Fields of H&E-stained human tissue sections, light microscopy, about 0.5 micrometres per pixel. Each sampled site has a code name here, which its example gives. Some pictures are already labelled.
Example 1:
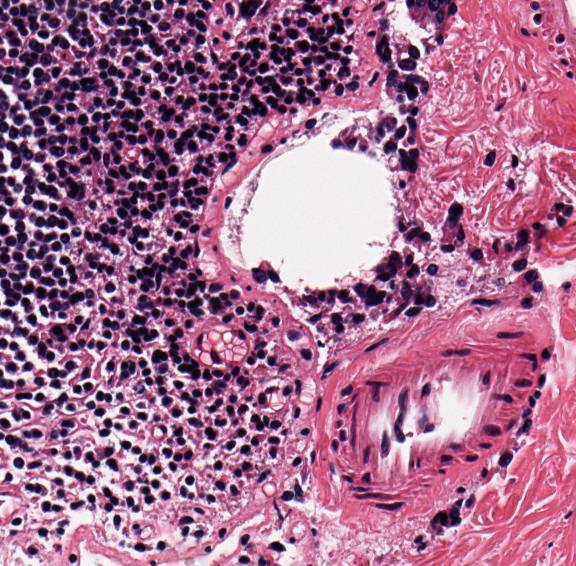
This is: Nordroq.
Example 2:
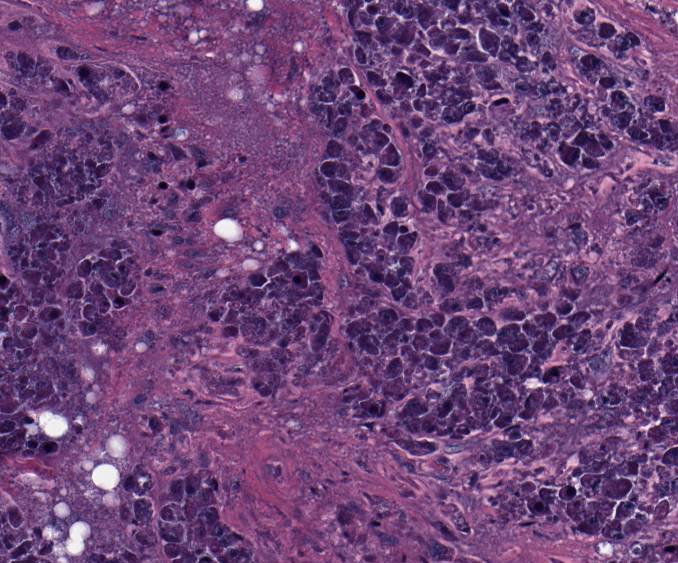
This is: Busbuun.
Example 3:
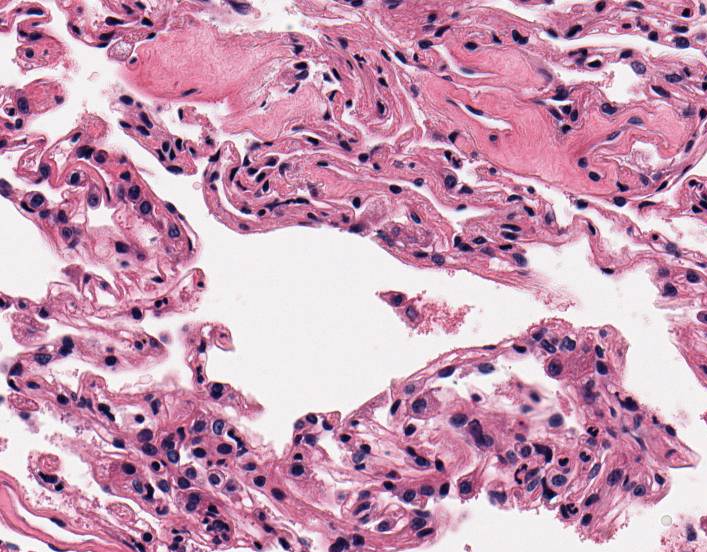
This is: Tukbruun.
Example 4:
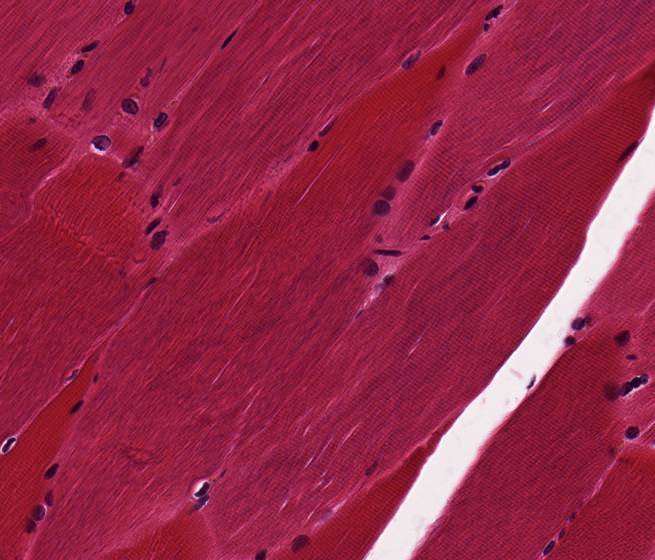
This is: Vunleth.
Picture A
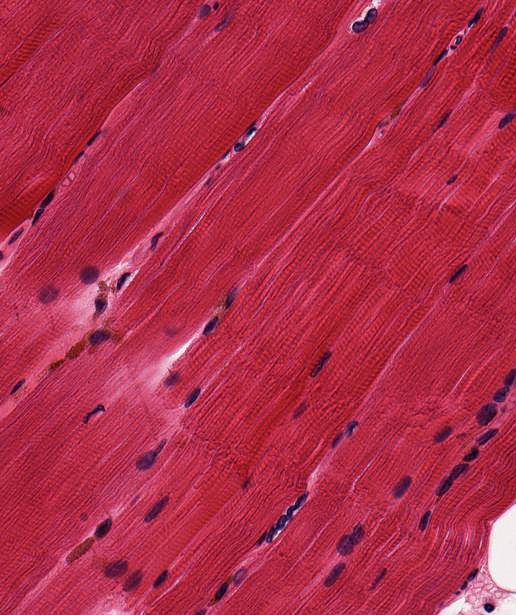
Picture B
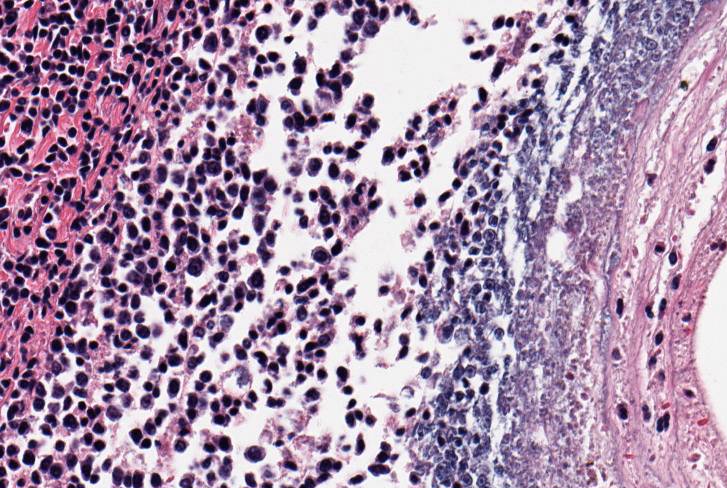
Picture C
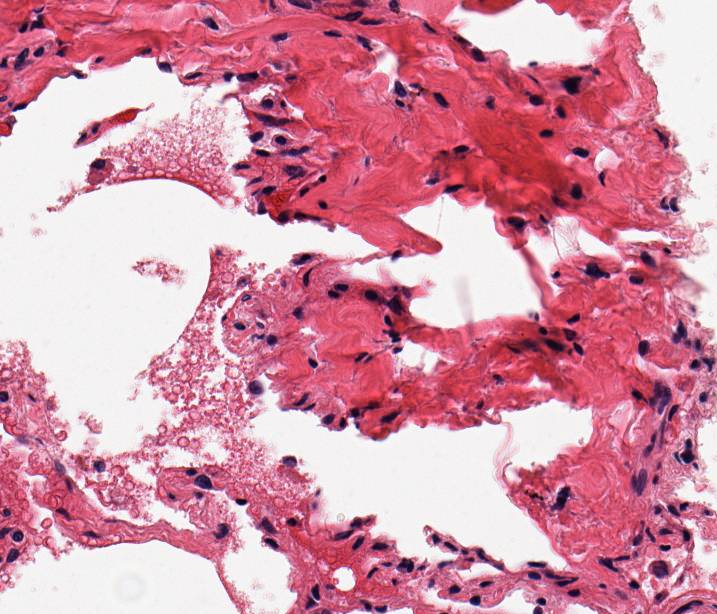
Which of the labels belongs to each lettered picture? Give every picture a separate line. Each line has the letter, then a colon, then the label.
A: Vunleth.
B: Nordroq.
C: Tukbruun.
